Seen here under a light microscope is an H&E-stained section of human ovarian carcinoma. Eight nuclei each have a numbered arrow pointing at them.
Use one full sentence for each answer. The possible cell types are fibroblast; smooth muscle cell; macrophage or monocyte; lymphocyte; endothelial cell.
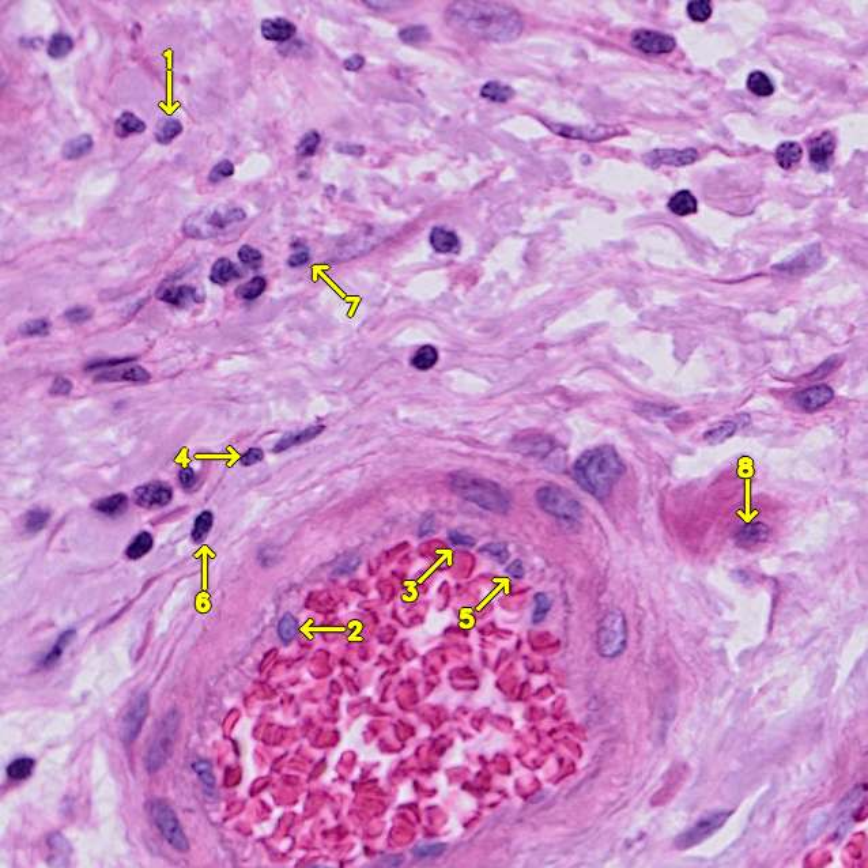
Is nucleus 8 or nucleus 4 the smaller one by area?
The smaller nucleus is 4, and 8 covers roughly 1.5 times its area.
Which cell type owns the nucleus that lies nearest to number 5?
The nearest nucleus to number 5 belongs to an endothelial cell.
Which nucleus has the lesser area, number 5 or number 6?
Nucleus 5 is the smaller one; nucleus 6 covers about 2 times its area.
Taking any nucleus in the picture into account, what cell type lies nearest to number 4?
The nucleus nearest to number 4 is that of a fibroblast.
